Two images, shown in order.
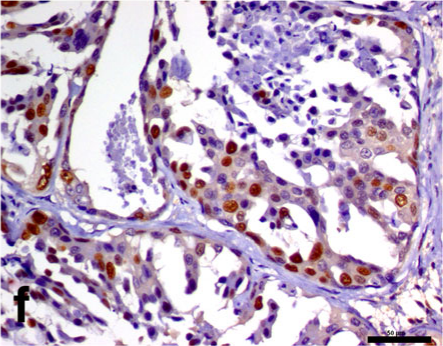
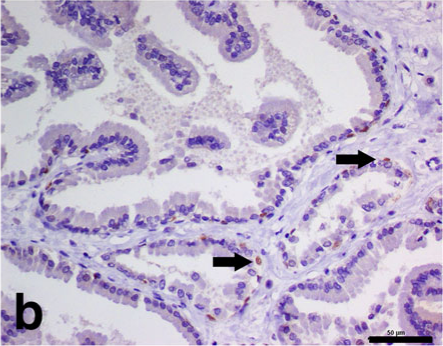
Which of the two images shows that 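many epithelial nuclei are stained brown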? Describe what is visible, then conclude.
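First image: numerous brown nuclei among the epithelial cells. Second image: the tall lining cells have blue nuclei, with only a few scattered brown nuclei outside them. That points to this answer: the first image.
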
